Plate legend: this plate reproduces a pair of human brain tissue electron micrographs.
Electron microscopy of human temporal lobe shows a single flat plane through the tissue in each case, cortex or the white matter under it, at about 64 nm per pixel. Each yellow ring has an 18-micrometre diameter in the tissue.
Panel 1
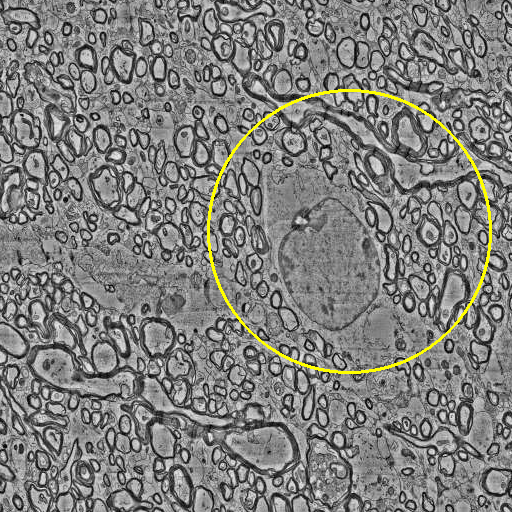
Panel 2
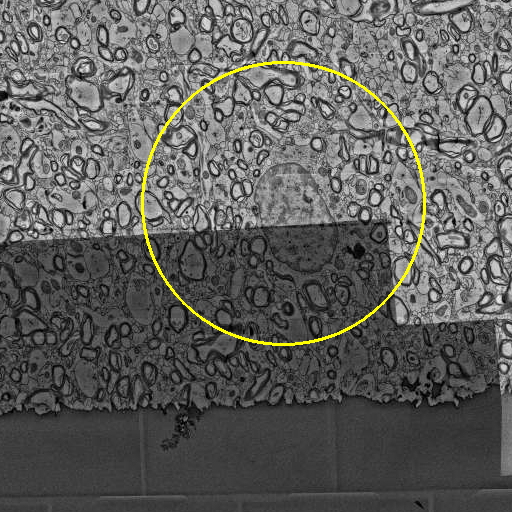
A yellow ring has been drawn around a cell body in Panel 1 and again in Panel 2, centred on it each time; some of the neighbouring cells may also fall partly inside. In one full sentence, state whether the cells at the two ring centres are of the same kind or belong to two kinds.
The ring-centred cells of Panel 1 and Panel 2 belong to two kinds.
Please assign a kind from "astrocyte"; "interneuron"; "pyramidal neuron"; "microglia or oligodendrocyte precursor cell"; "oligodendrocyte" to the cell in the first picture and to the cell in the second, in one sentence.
In the first picture we have an astrocyte, and in the second, an oligodendrocyte.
